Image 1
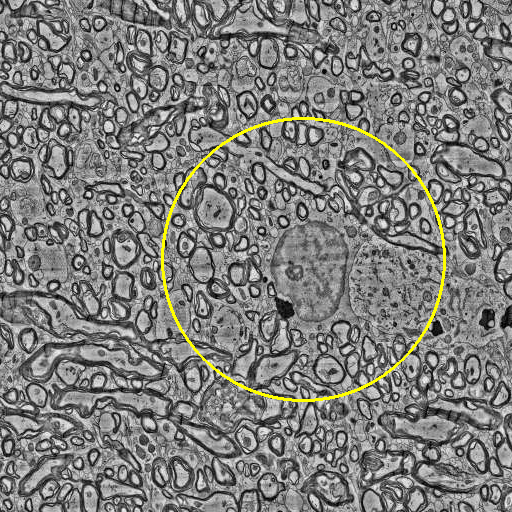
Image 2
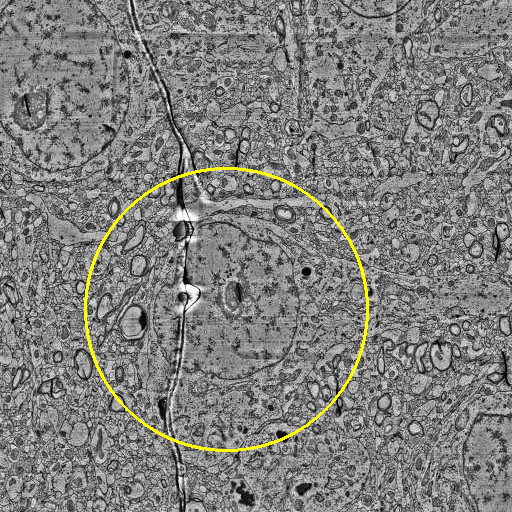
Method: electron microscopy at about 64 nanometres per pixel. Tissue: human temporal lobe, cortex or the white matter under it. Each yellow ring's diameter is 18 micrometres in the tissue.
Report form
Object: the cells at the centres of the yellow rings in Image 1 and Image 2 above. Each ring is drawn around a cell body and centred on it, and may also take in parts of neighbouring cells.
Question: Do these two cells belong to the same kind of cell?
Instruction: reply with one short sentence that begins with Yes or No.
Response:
No, they belong to two kinds of cell.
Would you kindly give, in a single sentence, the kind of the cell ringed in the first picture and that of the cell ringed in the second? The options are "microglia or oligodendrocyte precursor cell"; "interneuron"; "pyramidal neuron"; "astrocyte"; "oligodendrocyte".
The second cell is a pyramidal neuron, and the first cell is an oligodendrocyte.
